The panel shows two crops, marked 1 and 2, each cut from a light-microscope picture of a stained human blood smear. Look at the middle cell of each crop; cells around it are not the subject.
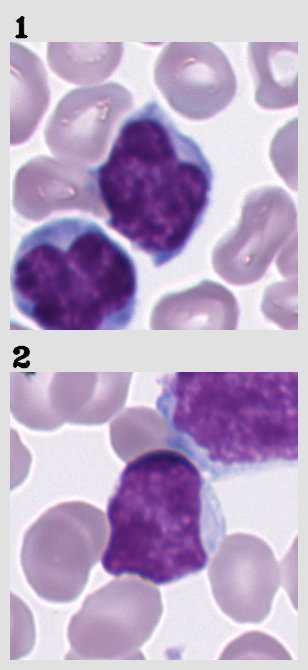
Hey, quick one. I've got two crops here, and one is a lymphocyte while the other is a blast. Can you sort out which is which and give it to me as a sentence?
Crop 1 depicts a blast, and a lymphocyte is depicted in crop 2.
